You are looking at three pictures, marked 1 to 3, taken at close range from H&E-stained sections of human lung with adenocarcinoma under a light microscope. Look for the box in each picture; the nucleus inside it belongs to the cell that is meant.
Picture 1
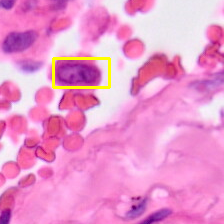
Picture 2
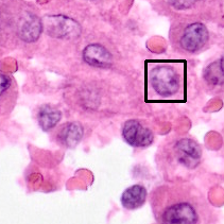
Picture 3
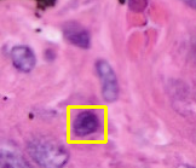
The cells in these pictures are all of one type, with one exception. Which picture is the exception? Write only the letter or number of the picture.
3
